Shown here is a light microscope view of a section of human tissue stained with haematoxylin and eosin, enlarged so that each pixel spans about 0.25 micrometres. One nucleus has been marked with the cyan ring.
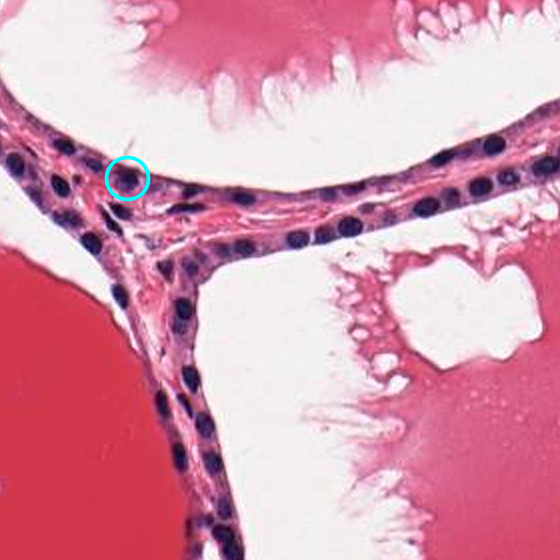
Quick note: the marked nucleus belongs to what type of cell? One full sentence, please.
In this section, the marked nucleus is that of a thyroid follicular cell.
